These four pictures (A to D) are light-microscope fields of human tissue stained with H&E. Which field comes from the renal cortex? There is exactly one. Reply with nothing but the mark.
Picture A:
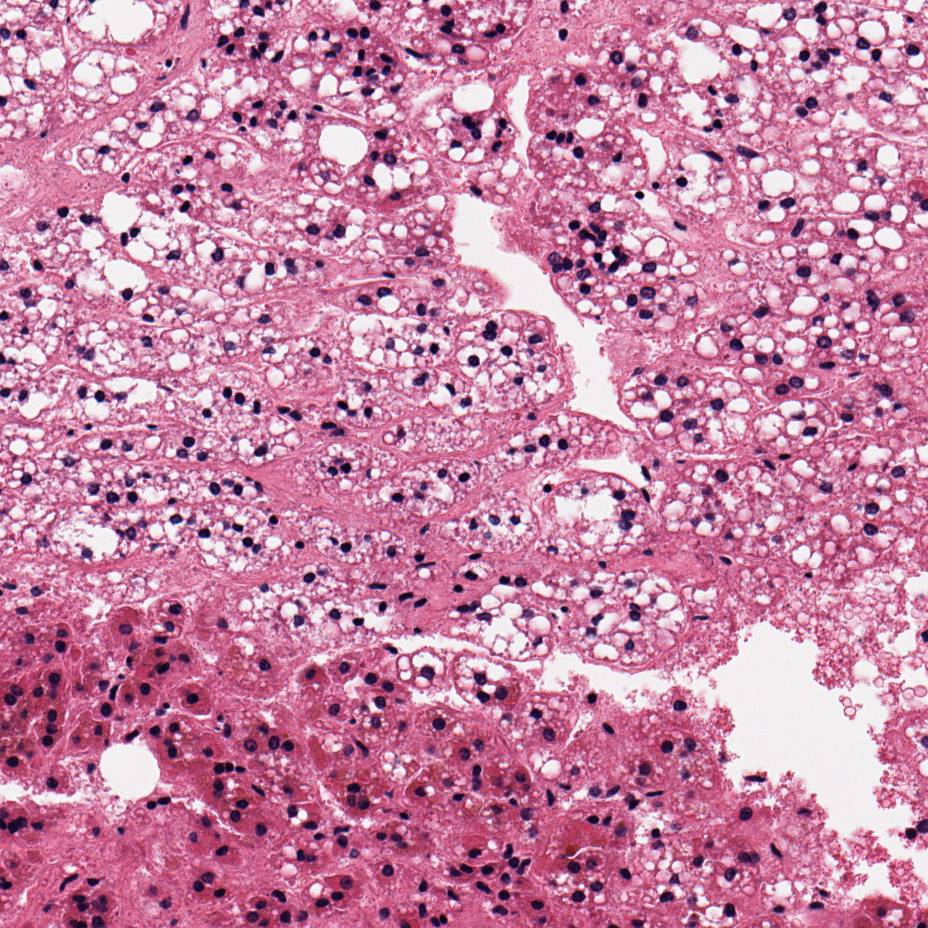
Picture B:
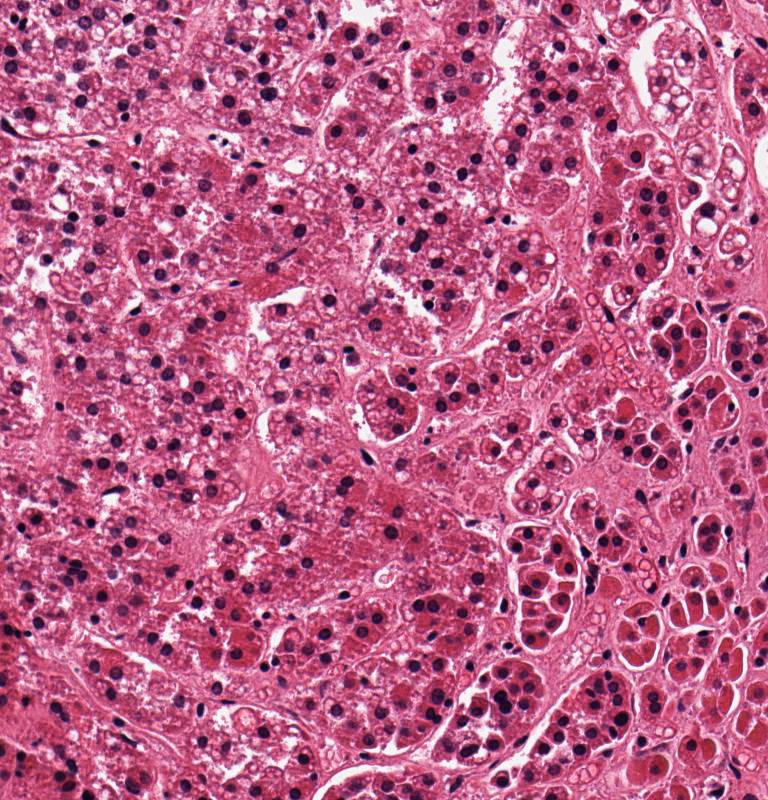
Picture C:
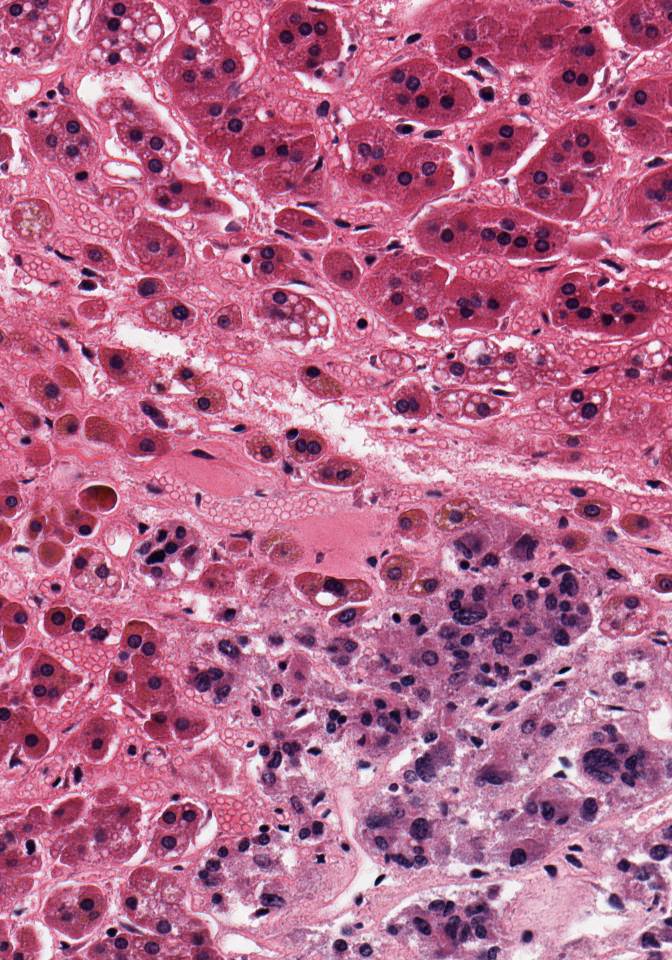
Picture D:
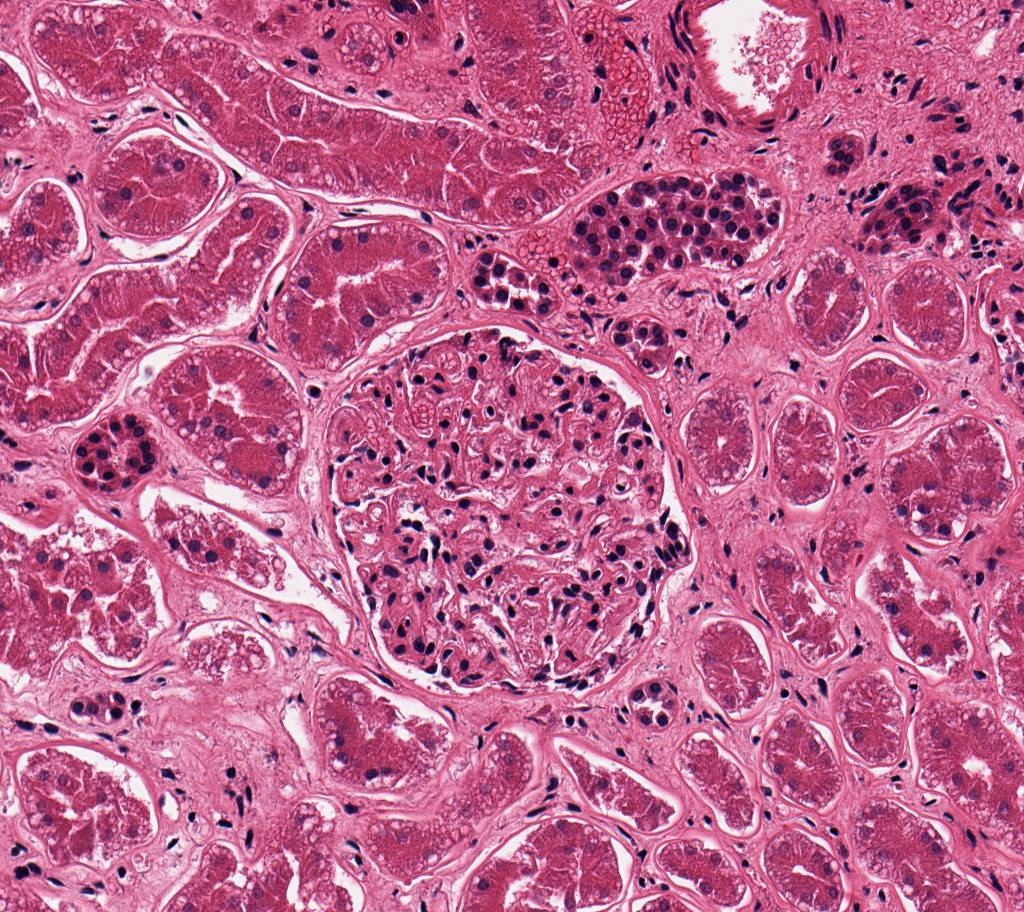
D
